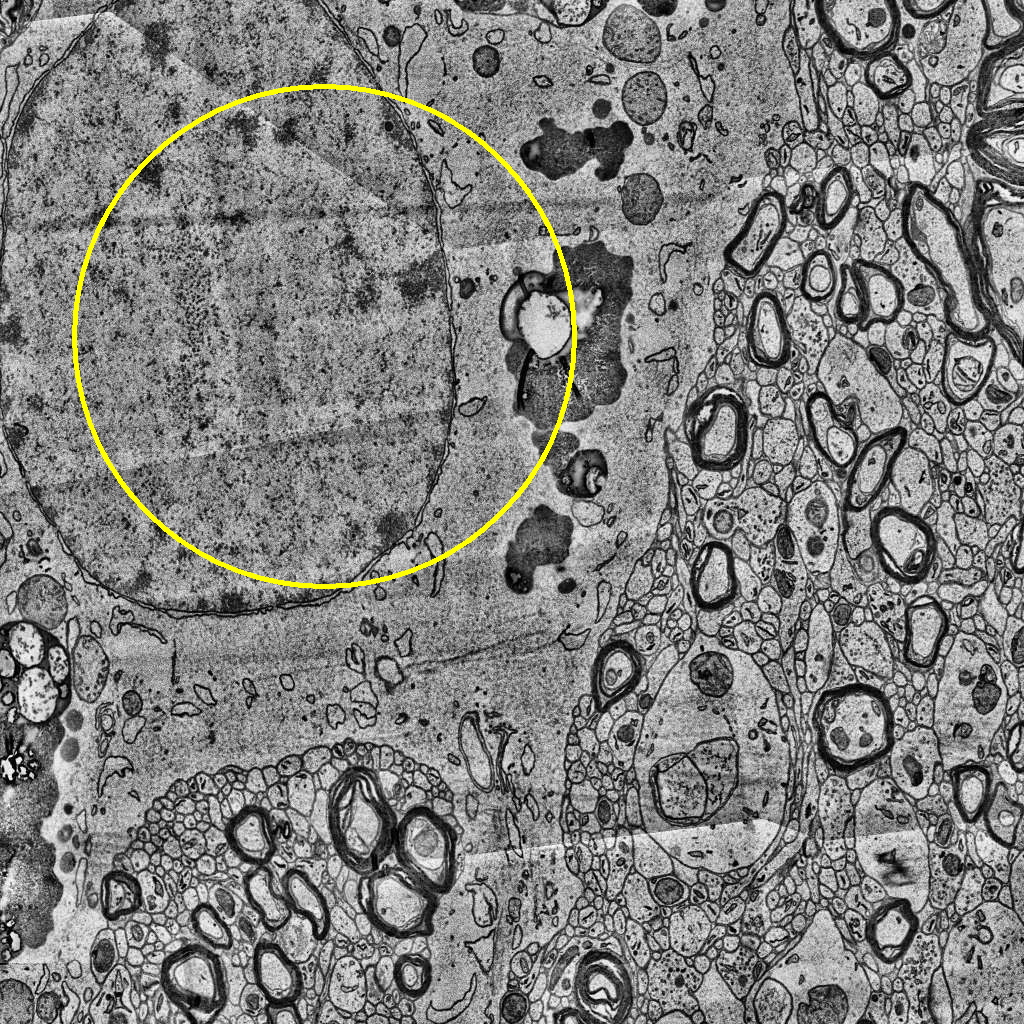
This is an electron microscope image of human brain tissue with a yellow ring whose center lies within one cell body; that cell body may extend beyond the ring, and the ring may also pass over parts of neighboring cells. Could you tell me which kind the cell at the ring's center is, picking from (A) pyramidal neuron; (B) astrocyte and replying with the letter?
B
